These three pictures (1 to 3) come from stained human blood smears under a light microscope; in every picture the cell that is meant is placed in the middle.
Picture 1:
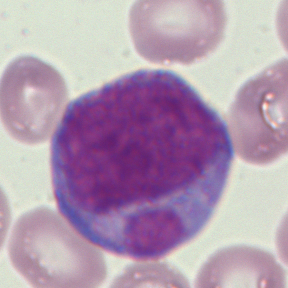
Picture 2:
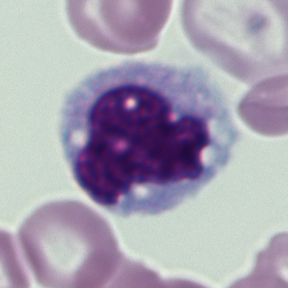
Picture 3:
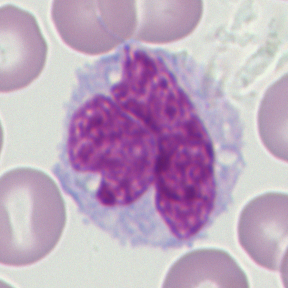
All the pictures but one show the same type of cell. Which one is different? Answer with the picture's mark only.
1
